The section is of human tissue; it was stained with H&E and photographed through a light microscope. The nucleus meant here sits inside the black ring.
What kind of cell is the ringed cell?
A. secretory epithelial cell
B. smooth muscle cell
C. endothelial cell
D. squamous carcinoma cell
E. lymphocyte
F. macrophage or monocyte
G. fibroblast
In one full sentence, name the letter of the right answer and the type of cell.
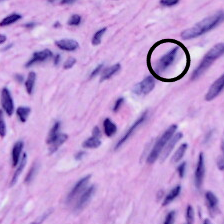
Here the ringed cell is a fibroblast, which makes option G correct.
